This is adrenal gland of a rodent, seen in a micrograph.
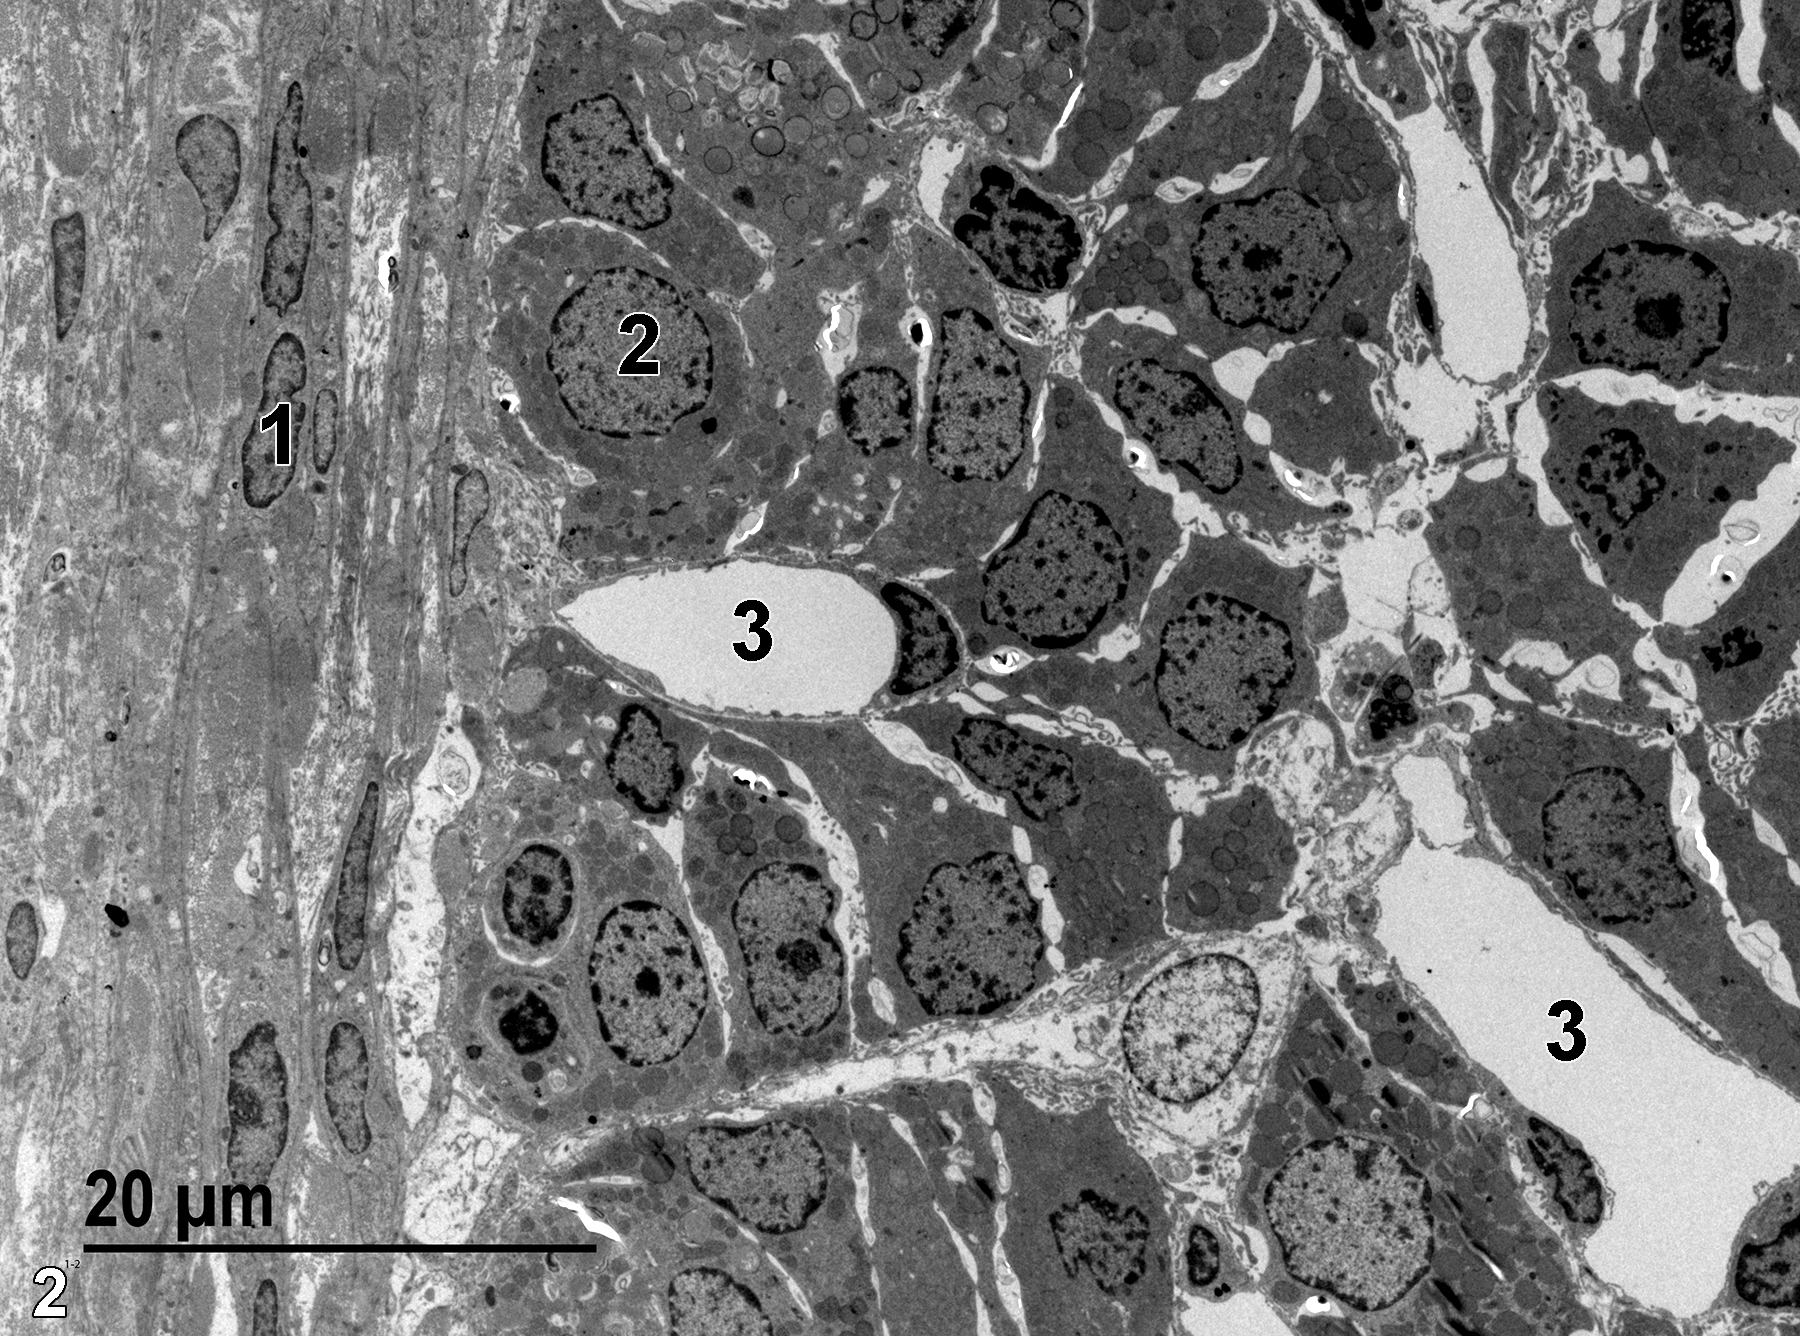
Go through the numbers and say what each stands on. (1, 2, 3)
1 - nucleus of a capsular smooth muscle cell
2 - nucleus of a zona glomerulosa epithelial cell
3 - capillaries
